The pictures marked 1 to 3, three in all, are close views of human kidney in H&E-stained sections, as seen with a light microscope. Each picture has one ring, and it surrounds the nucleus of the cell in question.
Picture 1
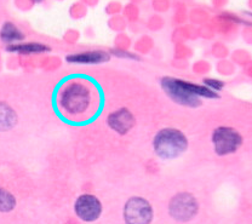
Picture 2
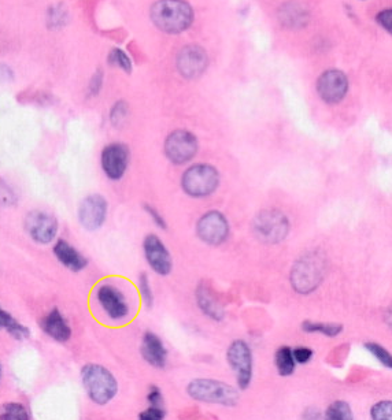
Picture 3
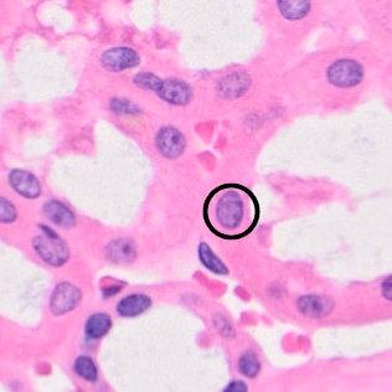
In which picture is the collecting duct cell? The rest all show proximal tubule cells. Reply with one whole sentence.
The picture with the collecting duct cell is 2.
